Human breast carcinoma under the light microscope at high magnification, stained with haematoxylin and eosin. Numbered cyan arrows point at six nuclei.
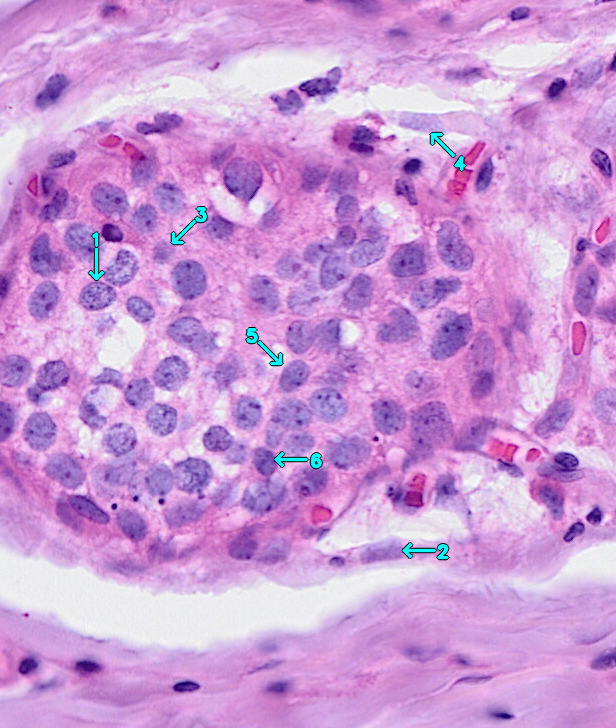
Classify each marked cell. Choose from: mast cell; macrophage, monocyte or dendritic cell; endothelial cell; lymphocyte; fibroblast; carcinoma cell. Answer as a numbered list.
1. carcinoma cell
2. fibroblast
3. carcinoma cell
4. fibroblast
5. carcinoma cell
6. carcinoma cell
